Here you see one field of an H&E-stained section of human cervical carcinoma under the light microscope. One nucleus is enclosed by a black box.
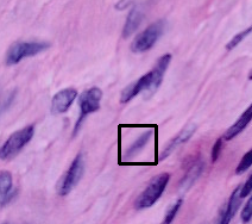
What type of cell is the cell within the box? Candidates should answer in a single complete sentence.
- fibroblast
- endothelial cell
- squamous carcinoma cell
Typologically, the cell within the box is a fibroblast in this section.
